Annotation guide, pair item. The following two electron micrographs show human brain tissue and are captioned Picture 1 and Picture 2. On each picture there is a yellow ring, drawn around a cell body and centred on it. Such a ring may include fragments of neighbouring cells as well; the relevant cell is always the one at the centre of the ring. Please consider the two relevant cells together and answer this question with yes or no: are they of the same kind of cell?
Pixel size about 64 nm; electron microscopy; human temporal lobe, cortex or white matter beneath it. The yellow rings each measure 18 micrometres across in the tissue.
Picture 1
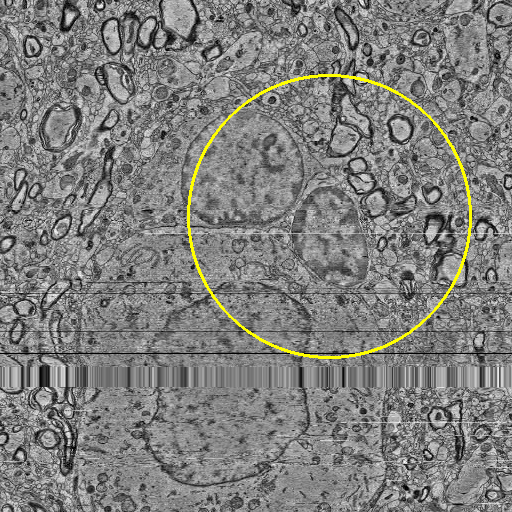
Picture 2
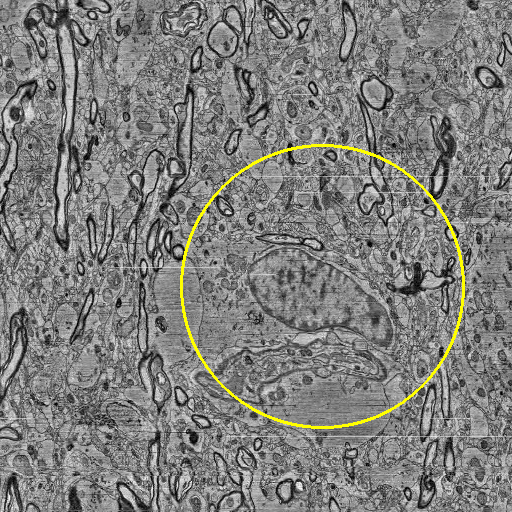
yes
